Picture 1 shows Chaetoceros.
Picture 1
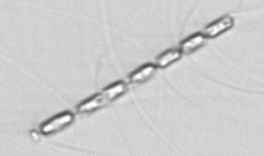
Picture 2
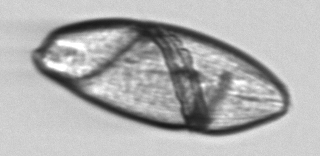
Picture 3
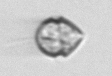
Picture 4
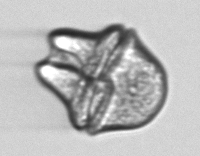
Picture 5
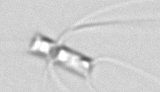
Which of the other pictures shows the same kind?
Picture 5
